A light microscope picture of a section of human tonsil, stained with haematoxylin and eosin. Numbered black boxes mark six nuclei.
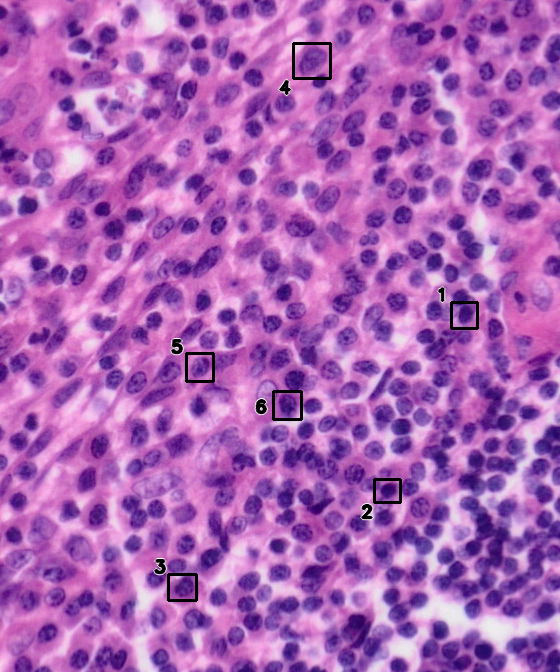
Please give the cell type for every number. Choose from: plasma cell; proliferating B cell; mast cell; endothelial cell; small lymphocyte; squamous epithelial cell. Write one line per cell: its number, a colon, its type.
1: small lymphocyte
2: plasma cell
3: plasma cell
4: squamous epithelial cell
5: plasma cell
6: plasma cell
